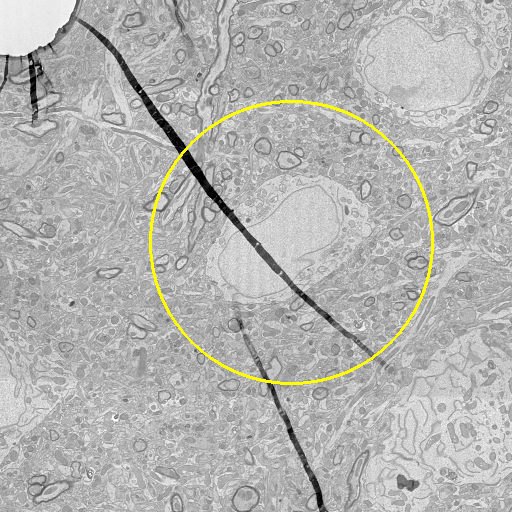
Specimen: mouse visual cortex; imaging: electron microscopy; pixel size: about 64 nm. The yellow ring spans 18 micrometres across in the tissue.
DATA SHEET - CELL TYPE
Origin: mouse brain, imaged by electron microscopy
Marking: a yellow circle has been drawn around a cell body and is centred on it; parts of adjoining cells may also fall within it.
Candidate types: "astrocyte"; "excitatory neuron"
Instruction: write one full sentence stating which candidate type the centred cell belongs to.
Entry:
The cell body at the centre of the yellow ring in this micrograph belongs to an excitatory neuron.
